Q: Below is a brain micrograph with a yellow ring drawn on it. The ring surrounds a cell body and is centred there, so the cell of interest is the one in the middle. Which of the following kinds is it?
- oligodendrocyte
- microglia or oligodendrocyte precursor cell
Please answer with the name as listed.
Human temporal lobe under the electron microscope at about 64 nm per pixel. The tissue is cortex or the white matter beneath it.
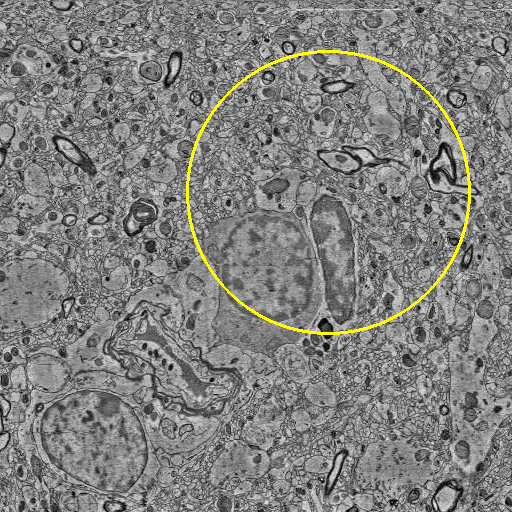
microglia or oligodendrocyte precursor cell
